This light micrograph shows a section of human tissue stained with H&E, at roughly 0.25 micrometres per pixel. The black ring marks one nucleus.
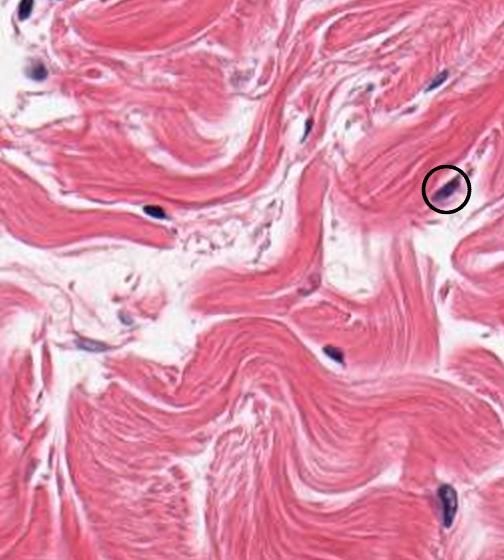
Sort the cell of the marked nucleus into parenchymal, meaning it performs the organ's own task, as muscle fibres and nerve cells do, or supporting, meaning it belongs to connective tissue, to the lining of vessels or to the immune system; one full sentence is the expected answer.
The marked nucleus is attributed to a supporting cell.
